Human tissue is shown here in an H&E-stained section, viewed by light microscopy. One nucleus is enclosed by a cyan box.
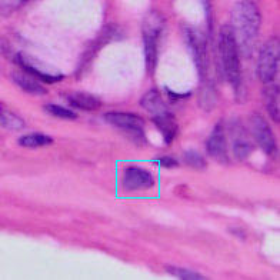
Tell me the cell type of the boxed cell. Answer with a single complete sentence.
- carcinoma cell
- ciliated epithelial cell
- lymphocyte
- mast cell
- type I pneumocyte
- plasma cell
Within the stained tissue, the boxed cell is a mast cell.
